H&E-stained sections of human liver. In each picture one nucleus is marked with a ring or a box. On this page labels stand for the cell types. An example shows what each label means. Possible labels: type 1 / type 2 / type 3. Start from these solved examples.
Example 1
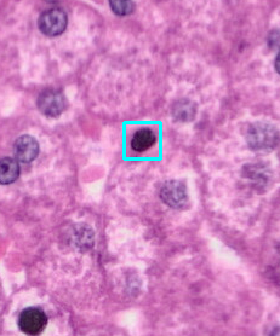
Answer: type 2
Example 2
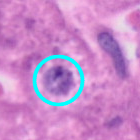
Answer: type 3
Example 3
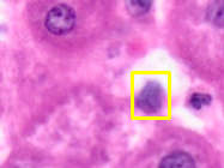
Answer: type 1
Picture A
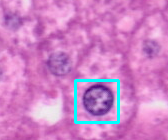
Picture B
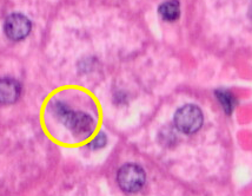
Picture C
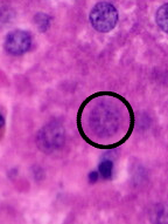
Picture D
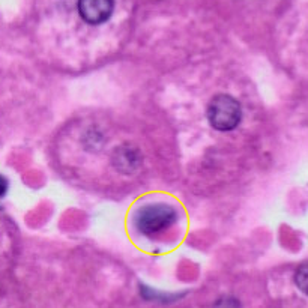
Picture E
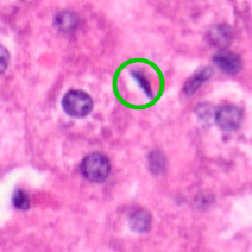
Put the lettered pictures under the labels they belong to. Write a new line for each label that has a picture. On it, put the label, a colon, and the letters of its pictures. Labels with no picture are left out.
type 1: D, E
type 2: B
type 3: A, C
